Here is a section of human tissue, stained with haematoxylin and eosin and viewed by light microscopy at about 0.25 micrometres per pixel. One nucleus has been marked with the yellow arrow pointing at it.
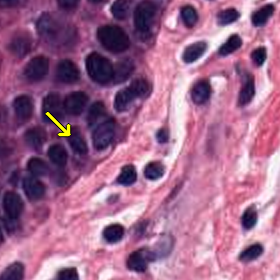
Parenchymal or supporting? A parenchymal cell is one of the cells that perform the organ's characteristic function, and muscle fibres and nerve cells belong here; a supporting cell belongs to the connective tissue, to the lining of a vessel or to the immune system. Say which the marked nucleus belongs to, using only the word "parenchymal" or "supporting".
parenchymal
